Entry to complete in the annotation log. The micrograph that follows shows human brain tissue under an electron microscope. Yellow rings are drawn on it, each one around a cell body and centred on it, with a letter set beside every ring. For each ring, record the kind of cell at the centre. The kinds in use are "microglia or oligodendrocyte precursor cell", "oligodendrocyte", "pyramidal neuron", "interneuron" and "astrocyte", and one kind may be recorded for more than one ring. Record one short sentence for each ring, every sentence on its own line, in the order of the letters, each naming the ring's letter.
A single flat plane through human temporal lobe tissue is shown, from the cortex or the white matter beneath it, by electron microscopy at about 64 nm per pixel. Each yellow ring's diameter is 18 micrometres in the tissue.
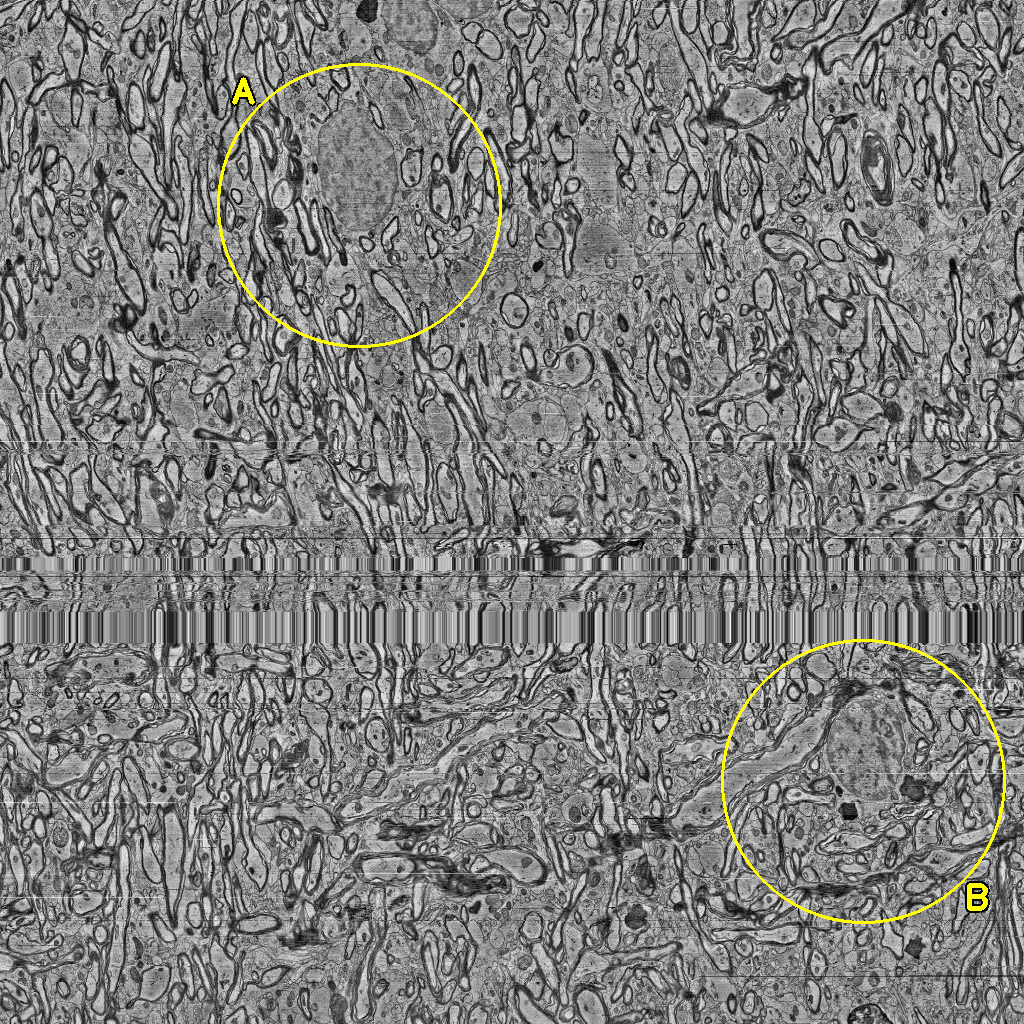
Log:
Ring A is placed around an oligodendrocyte.
Ring B is placed around an oligodendrocyte.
